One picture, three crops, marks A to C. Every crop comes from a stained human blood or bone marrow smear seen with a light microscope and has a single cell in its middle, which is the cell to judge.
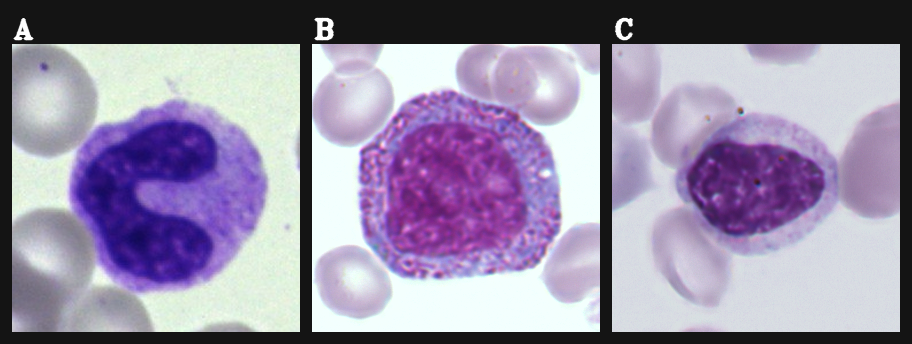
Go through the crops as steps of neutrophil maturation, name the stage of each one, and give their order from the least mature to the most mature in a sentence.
The correct order, least to most mature, is crop B (a promyelocyte), crop C (a metamyelocyte) and crop A (a band neutrophil).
